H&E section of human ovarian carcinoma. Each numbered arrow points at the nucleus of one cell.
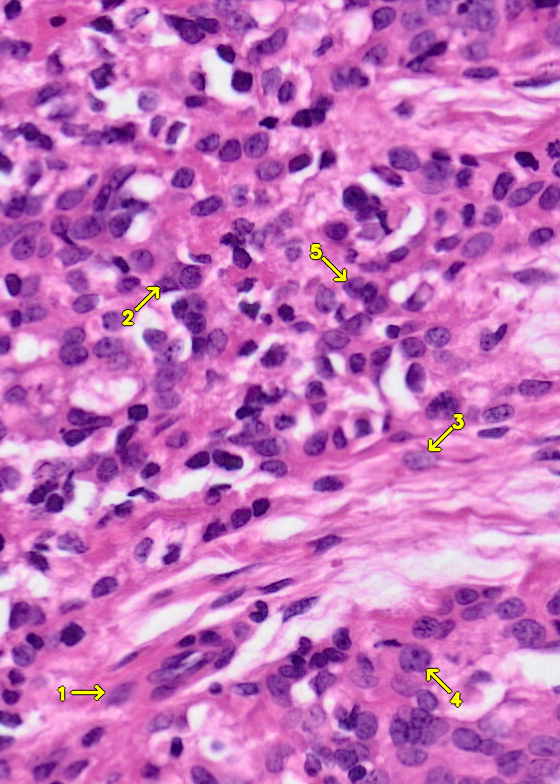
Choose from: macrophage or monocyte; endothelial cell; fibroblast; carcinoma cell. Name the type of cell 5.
carcinoma cell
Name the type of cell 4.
carcinoma cell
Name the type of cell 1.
fibroblast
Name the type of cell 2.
carcinoma cell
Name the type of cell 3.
endothelial cell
